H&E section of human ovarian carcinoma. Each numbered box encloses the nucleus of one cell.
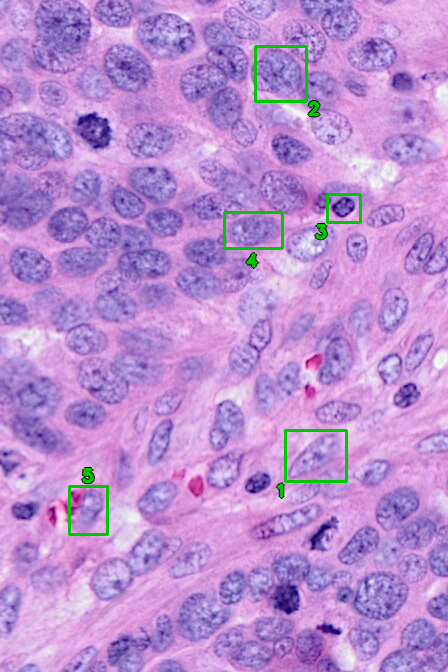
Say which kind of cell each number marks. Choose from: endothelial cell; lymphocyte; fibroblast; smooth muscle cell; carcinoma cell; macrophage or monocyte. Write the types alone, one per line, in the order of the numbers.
fibroblast
carcinoma cell
lymphocyte
carcinoma cell
endothelial cell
